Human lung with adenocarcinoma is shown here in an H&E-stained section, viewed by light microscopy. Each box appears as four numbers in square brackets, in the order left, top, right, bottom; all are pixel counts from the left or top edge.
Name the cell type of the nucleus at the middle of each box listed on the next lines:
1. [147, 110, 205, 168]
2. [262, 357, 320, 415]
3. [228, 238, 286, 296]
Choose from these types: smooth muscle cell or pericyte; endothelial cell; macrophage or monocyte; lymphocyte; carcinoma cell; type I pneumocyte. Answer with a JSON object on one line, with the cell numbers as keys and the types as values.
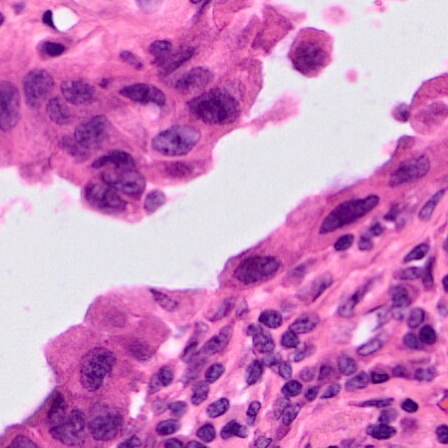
{"1": "carcinoma cell", "2": "lymphocyte", "3": "carcinoma cell"}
